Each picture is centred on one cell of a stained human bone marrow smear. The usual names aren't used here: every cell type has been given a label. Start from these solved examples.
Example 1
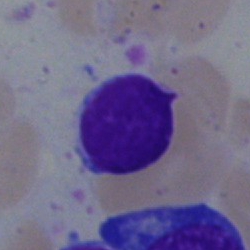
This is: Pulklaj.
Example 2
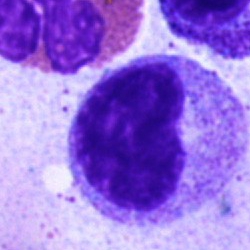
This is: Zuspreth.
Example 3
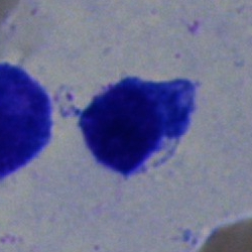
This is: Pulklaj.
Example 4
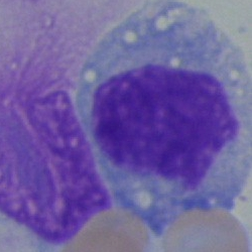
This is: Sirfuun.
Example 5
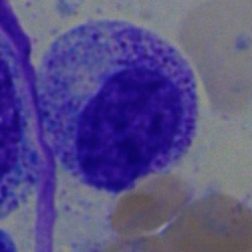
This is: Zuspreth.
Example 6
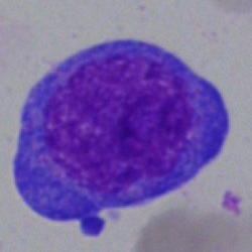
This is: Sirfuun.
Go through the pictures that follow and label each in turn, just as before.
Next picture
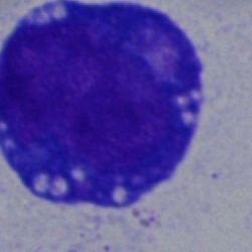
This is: Sirfuun.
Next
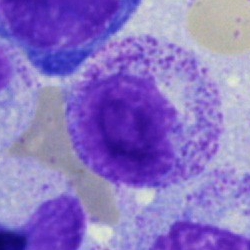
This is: Zuspreth.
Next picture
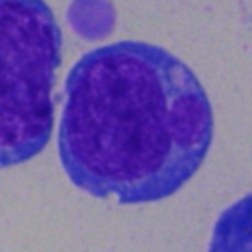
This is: Sirfuun.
